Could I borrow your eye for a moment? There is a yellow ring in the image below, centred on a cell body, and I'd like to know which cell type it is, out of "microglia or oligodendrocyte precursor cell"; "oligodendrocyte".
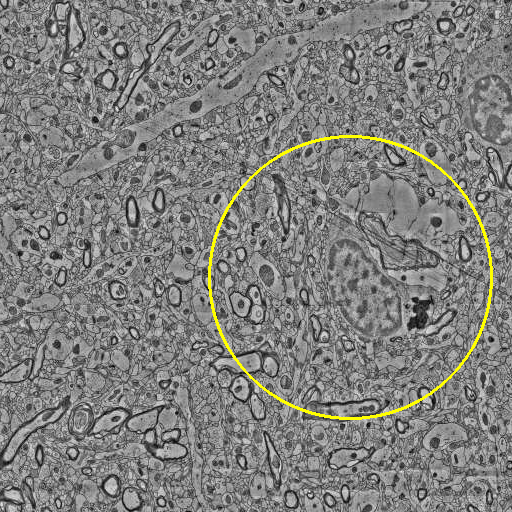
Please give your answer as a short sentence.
The cell body at the centre is that of an oligodendrocyte.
